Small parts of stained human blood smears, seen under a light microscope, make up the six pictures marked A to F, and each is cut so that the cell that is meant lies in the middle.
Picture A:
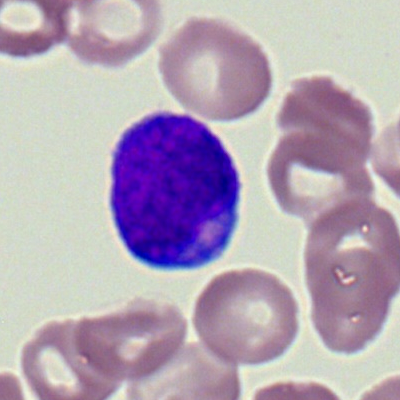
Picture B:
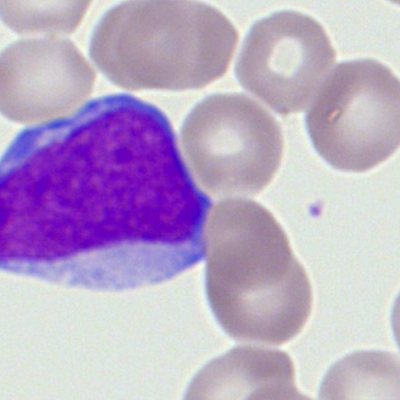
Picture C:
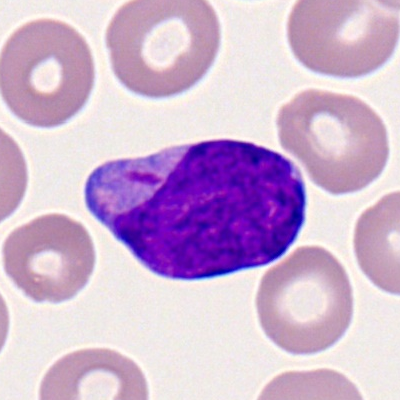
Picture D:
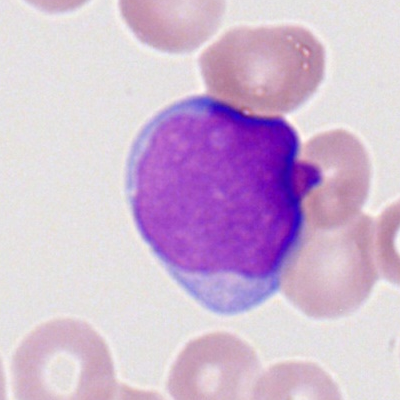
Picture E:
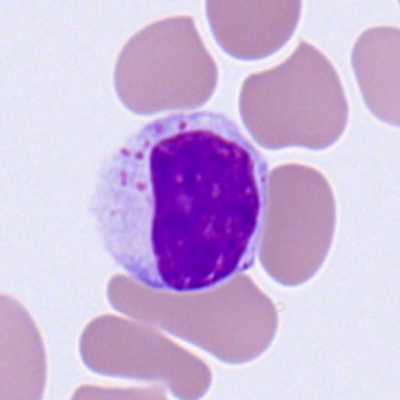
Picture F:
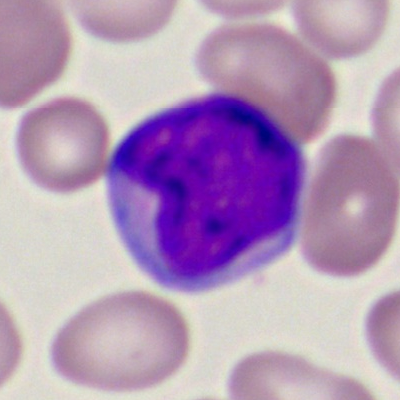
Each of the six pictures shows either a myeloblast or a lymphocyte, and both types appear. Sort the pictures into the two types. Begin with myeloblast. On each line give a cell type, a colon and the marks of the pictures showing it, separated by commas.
myeloblast: B, C, D, F
lymphocyte: A, E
